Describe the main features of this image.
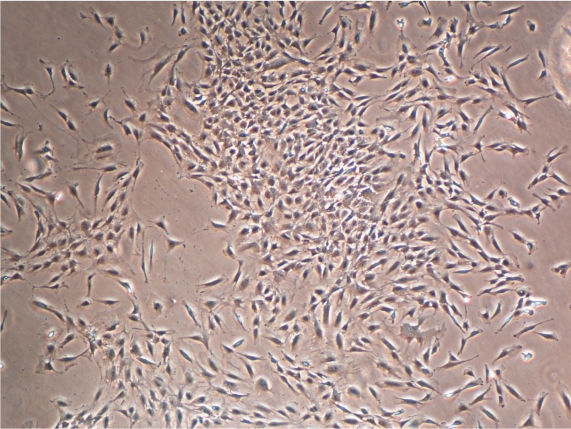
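The cells are flattened and spindle-shaped to polygonal, with bright halos at their edges and short tapering processes. In the centre of the field they are crowded together into a dense, nearly continuous sheet. Toward the margins the cells are more loosely spread, with bare dish showing between them. A few small, rounded, bright cells are scattered among the flat ones.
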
